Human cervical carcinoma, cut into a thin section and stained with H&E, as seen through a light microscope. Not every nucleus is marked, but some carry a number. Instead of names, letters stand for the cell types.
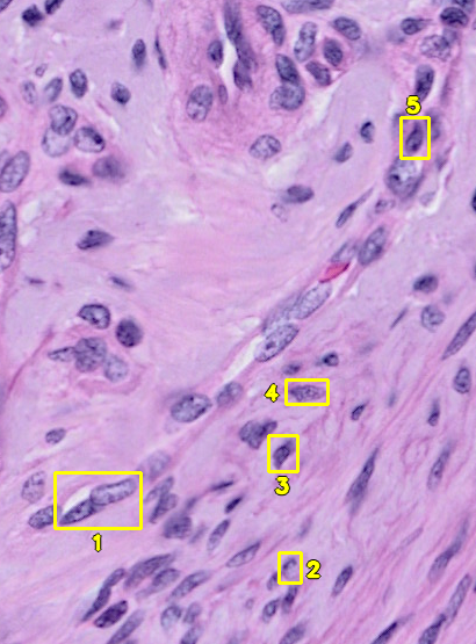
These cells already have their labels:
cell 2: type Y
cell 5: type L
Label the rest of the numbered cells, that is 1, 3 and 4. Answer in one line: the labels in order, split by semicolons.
type L; type Y; type Y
